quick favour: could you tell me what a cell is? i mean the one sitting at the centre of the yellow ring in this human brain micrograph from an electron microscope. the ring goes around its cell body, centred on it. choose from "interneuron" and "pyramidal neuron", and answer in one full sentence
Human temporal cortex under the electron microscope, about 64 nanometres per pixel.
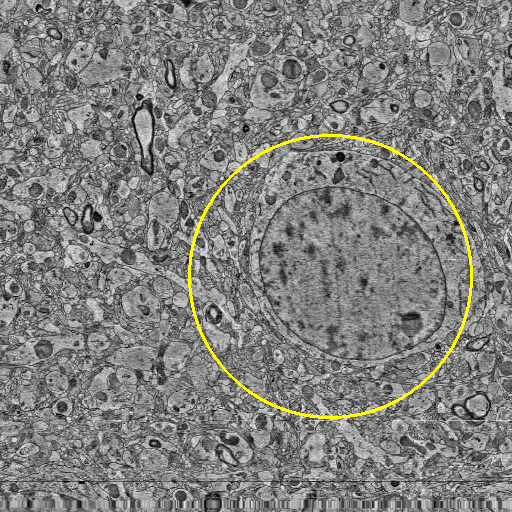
That's a pyramidal neuron, the cell sitting at the centre of the yellow ring.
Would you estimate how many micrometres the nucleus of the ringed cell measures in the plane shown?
The nucleus of the ringed cell is approximately 13 by 11 micrometres in this plane.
